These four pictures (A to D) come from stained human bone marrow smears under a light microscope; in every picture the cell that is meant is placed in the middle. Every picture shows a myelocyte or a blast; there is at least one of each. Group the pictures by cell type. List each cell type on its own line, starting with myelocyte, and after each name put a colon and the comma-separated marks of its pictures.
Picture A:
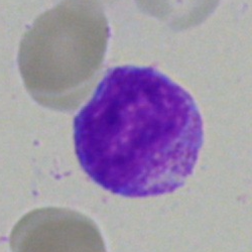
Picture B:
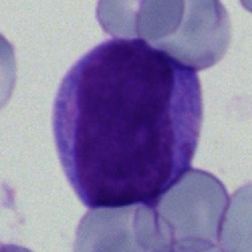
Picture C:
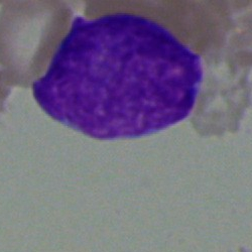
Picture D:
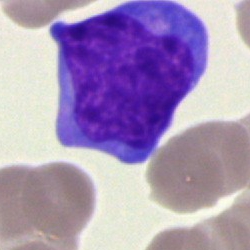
myelocyte: A
blast: B, C, D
